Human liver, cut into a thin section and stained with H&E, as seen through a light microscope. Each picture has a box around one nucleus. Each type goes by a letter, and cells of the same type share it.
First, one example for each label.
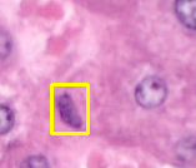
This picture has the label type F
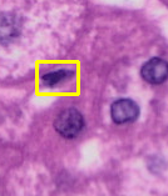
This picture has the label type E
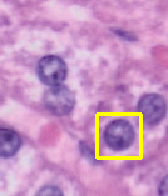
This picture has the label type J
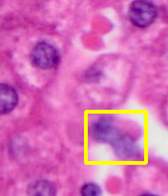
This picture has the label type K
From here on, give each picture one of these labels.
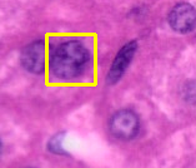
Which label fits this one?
type J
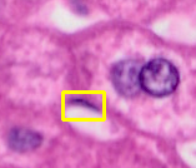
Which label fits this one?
type E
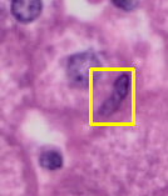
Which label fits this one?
type K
